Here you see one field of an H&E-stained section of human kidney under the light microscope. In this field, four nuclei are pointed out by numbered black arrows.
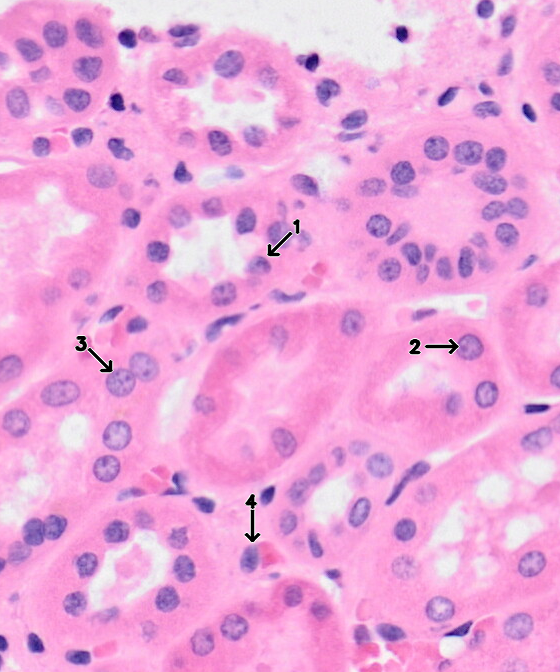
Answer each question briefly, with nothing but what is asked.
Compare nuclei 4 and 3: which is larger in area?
3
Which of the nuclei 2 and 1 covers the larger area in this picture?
2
